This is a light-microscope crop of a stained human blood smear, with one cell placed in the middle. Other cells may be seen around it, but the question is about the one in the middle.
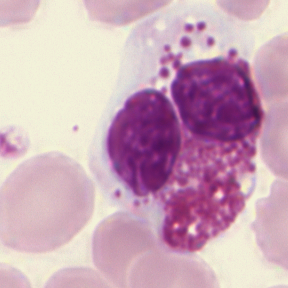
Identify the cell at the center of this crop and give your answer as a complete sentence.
This crop is built around an eosinophil at its centre.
